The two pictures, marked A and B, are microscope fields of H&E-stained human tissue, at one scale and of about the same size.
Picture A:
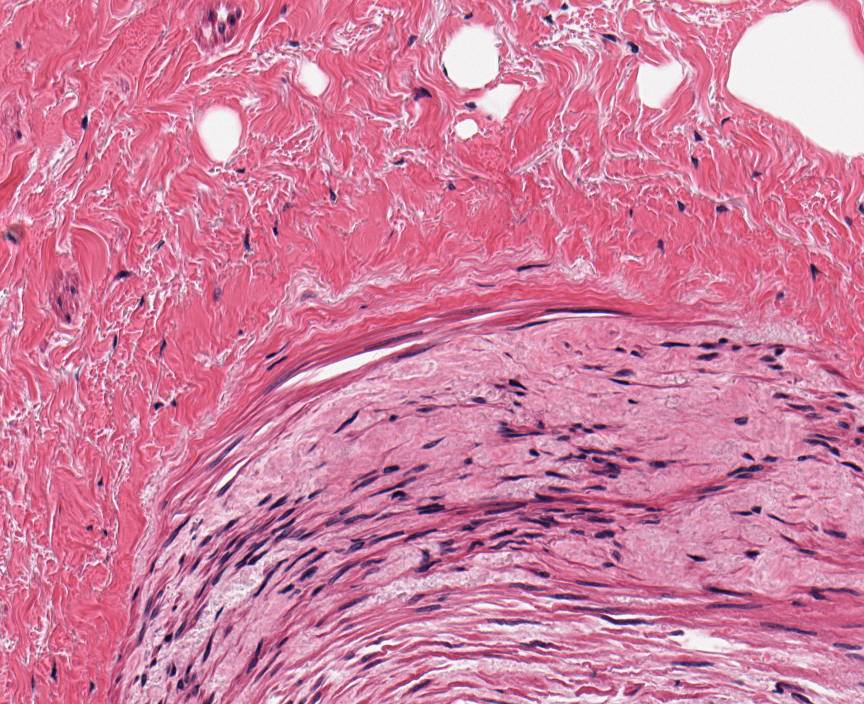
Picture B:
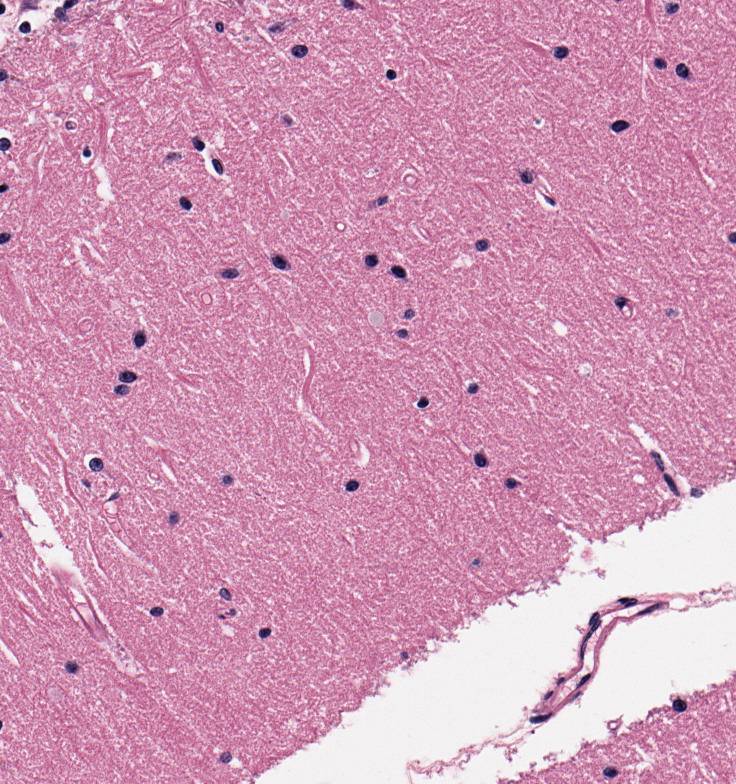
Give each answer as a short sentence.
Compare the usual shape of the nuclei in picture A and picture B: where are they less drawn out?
Rounder nuclei lie in picture B.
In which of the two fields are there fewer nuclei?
There are fewer nuclei in picture B.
